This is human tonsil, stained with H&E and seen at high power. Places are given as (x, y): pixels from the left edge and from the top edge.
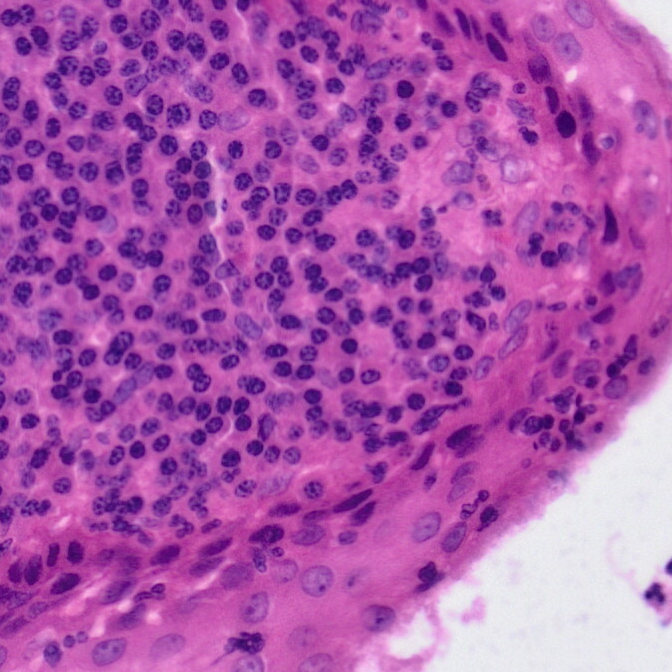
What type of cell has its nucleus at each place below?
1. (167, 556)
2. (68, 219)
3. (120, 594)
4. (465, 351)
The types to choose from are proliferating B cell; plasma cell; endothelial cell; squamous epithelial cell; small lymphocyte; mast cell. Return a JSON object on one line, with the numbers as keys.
{"1": "squamous epithelial cell", "2": "plasma cell", "3": "squamous epithelial cell", "4": "plasma cell"}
